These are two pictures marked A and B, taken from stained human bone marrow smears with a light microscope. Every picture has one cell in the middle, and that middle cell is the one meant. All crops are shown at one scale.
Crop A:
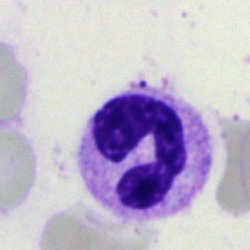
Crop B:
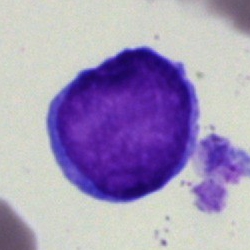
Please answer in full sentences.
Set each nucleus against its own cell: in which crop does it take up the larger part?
It is the cell in crop B that is filled more by its nucleus.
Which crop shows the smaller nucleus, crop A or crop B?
The nucleus in crop A is smaller; the one in crop B has about 2.5 times its area.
